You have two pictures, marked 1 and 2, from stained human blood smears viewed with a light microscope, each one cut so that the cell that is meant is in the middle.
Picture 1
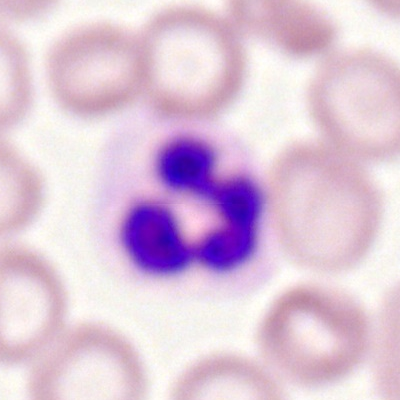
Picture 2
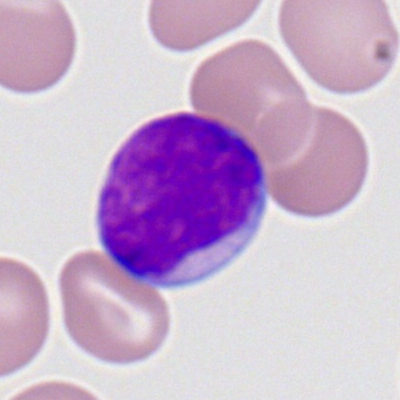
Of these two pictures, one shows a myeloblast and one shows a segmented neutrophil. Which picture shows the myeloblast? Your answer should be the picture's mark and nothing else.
2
